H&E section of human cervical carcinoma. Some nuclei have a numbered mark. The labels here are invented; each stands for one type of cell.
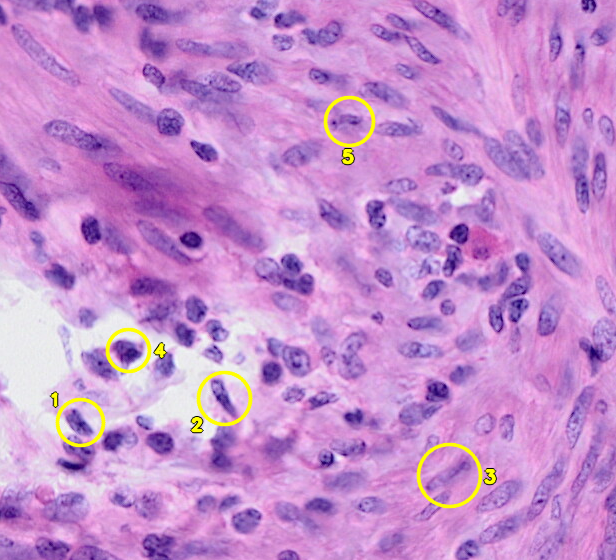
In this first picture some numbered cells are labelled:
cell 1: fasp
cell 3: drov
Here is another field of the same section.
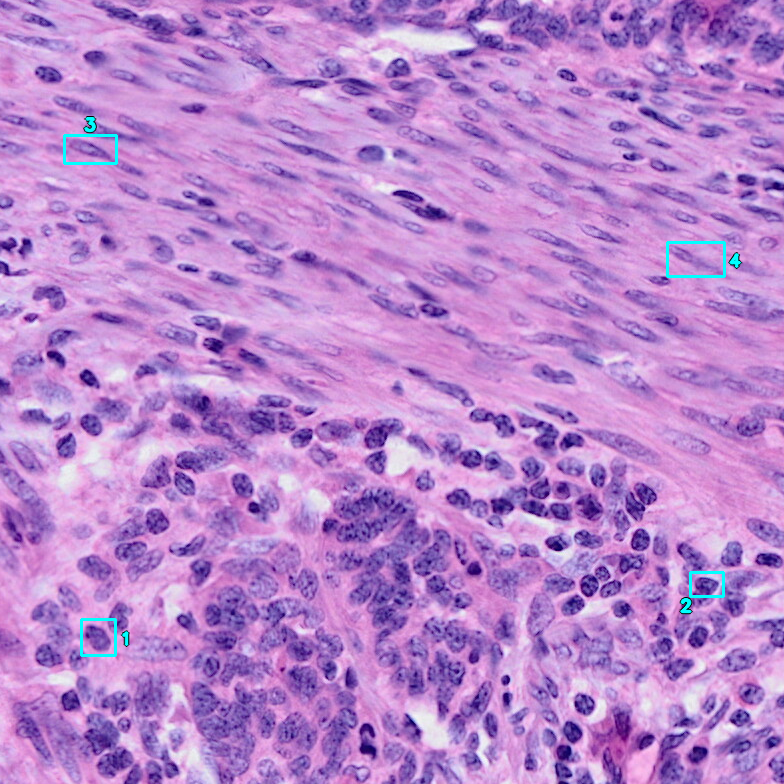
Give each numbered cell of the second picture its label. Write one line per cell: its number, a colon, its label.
1: fasp
2: fasp
3: drov
4: drov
